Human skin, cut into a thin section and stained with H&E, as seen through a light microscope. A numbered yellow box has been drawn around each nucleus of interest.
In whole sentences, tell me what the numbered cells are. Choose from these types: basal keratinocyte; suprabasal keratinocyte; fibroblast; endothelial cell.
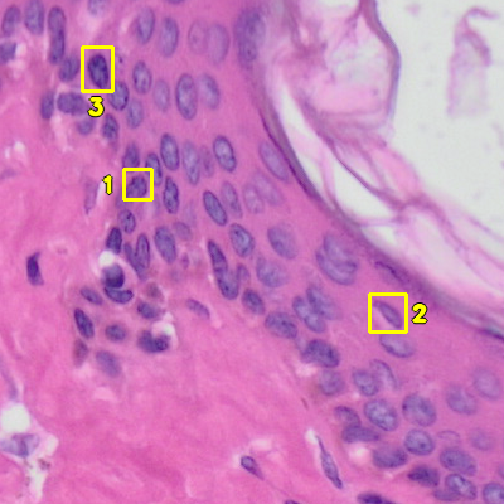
Cells 1 and 3 are basal keratinocytes. Cell 2 is a suprabasal keratinocyte.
